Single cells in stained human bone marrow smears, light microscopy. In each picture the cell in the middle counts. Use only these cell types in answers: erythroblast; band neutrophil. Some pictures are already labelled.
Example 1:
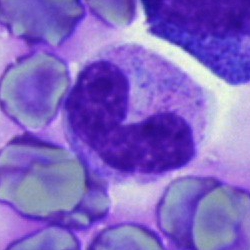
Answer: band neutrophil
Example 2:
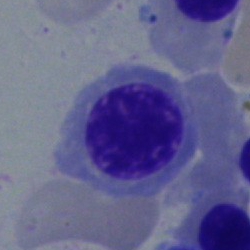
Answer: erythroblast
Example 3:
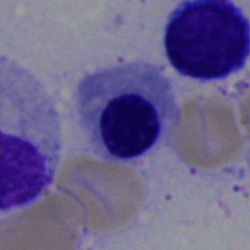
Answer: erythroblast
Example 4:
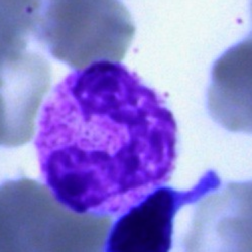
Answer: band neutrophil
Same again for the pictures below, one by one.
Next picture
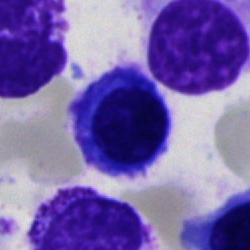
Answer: erythroblast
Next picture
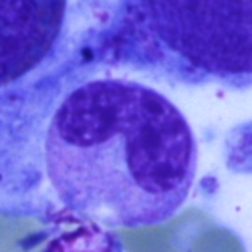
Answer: band neutrophil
